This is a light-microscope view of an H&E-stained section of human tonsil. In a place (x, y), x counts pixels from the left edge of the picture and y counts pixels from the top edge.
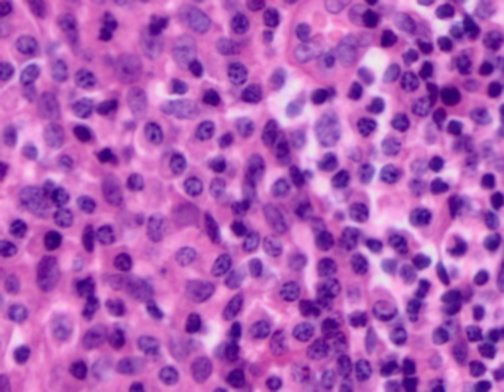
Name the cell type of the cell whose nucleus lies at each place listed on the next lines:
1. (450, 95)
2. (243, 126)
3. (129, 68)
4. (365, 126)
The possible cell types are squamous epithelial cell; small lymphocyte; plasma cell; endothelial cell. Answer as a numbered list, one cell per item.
1. plasma cell
2. plasma cell
3. squamous epithelial cell
4. plasma cell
